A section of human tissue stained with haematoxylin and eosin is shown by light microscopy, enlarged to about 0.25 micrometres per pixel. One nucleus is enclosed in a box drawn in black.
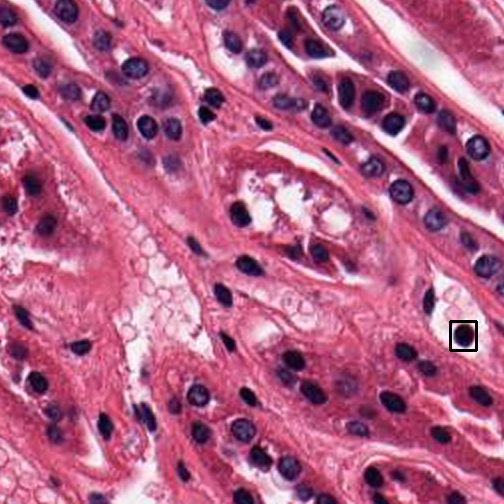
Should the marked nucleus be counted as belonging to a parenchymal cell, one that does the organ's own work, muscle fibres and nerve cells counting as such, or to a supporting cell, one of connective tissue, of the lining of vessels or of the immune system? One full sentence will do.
The marked nucleus is that of a supporting cell.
